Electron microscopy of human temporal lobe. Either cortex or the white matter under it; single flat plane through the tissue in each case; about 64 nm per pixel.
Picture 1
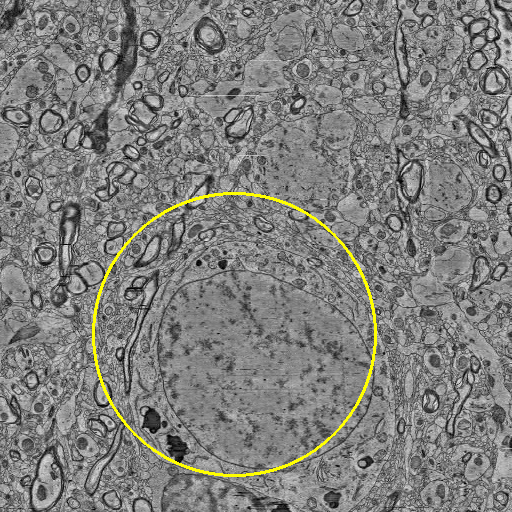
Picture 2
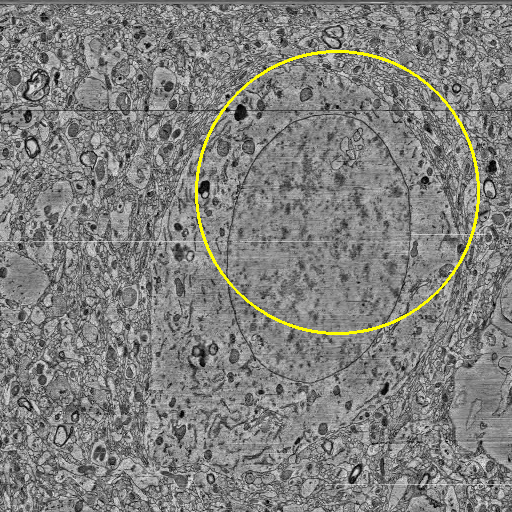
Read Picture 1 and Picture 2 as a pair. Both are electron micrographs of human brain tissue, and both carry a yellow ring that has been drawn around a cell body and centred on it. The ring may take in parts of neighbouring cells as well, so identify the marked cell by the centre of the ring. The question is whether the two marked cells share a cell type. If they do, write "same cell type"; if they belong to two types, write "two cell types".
same cell type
